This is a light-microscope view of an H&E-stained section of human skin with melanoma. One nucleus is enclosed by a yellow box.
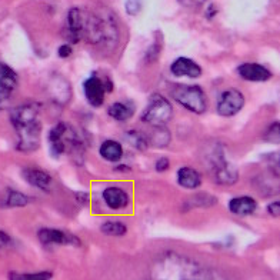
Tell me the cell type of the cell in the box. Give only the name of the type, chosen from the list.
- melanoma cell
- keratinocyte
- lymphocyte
lymphocyte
